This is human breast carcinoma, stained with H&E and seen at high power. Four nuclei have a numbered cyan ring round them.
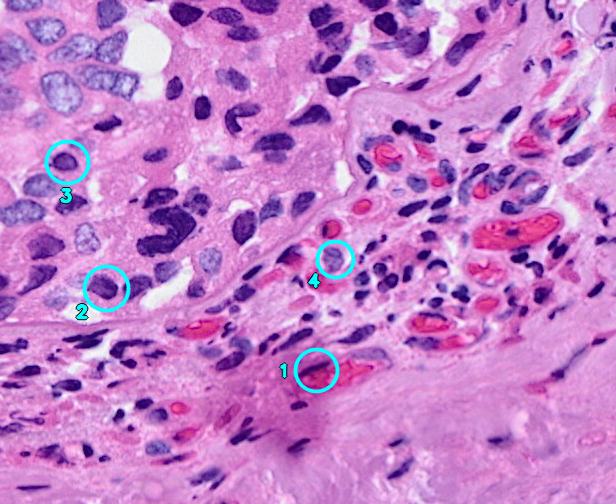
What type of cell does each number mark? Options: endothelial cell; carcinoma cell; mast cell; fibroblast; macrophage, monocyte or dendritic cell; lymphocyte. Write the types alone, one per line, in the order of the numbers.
endothelial cell
carcinoma cell
carcinoma cell
endothelial cell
